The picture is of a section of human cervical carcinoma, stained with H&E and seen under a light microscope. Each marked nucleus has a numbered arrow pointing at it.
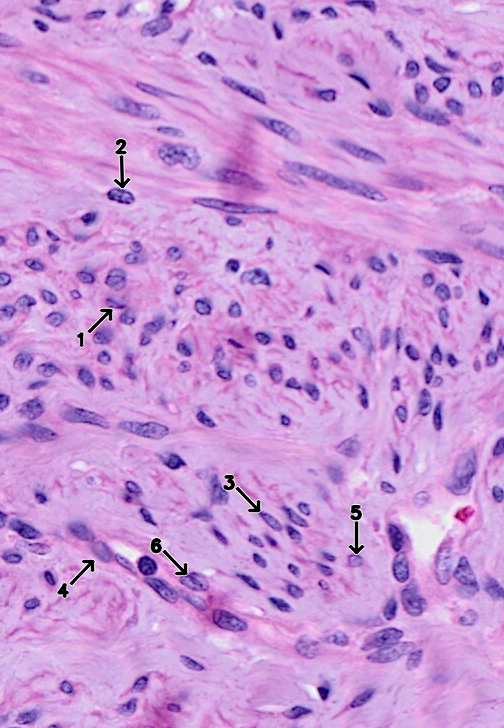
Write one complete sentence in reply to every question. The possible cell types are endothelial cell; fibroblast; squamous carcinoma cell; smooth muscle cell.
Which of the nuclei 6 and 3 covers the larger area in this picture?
At about 2.5 times the area of nucleus 3, nucleus 6 is the larger of the two.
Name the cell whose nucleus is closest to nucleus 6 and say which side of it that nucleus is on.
The closest nucleus belongs to an endothelial cell and sits below nucleus 6.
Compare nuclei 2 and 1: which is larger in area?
Nucleus 2 is the larger one, covering about 1.5 times the area of nucleus 1.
